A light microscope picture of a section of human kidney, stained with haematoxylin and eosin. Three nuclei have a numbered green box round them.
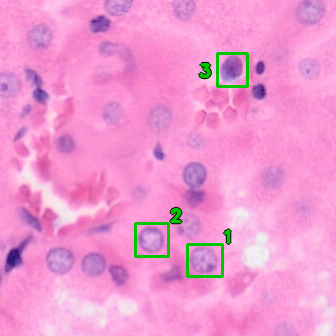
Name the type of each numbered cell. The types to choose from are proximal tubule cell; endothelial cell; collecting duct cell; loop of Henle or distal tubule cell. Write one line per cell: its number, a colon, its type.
1: proximal tubule cell
2: proximal tubule cell
3: endothelial cell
